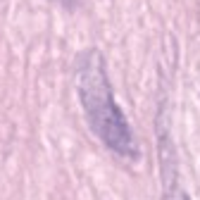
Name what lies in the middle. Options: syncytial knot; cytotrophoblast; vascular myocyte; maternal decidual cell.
vascular myocyte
